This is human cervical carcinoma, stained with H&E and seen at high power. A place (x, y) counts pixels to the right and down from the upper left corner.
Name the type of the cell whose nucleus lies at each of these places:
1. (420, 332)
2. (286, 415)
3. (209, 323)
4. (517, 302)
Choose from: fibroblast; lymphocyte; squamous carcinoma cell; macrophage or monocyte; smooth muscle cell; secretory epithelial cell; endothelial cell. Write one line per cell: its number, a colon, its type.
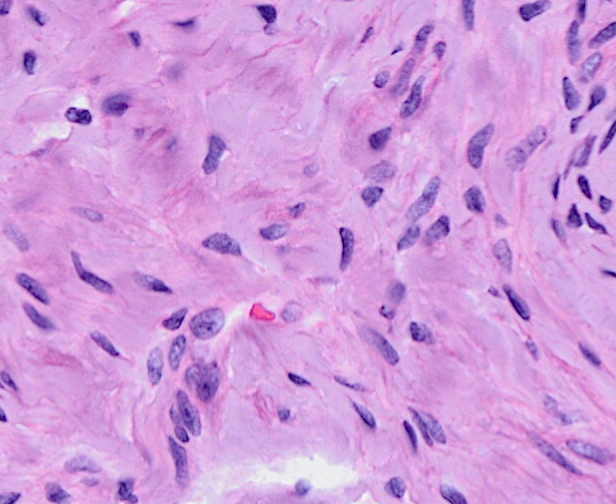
1: fibroblast
2: smooth muscle cell
3: endothelial cell
4: fibroblast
